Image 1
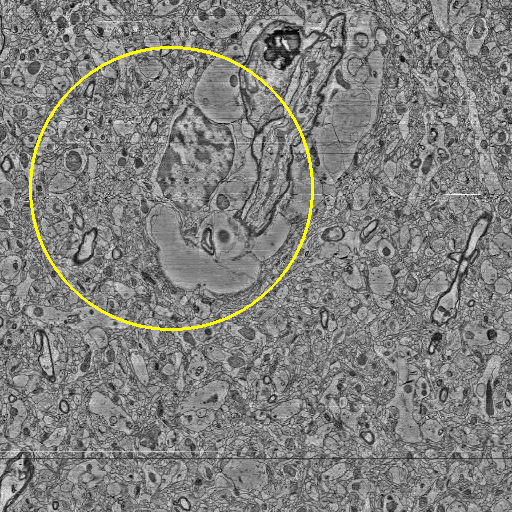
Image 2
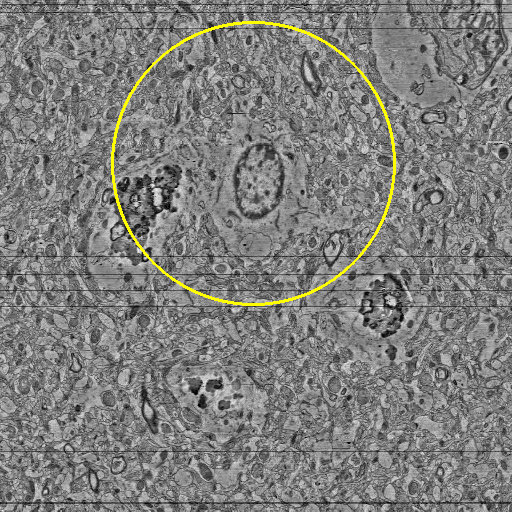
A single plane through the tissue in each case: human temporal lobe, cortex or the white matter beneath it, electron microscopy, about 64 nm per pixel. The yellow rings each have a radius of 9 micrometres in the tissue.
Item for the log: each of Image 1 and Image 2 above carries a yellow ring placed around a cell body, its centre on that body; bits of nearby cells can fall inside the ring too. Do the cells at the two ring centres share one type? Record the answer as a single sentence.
No, the two cells at the ring centres in Image 1 and Image 2 are of two types.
